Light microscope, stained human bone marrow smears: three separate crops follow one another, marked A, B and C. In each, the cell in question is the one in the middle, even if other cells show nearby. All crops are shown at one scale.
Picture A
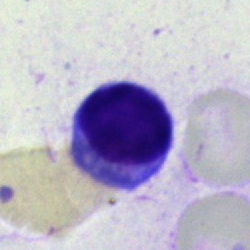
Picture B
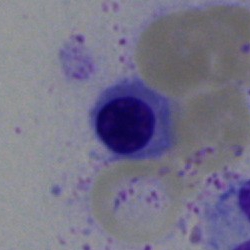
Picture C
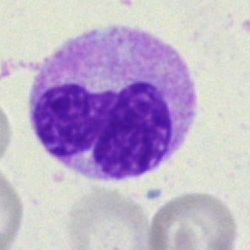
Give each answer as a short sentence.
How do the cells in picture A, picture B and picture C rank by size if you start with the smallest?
The order is B, A, C, beginning with the smallest.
